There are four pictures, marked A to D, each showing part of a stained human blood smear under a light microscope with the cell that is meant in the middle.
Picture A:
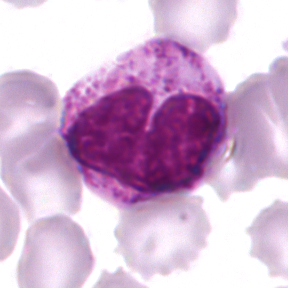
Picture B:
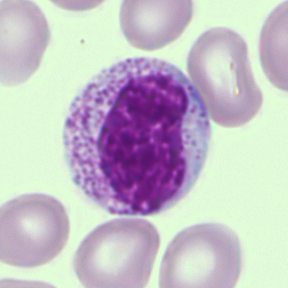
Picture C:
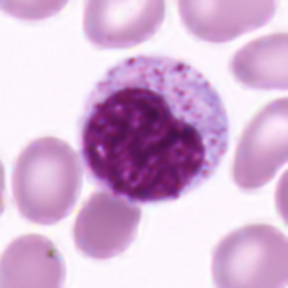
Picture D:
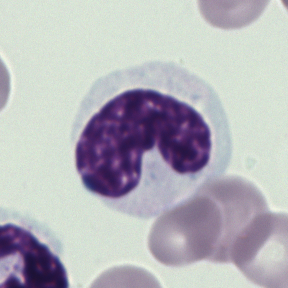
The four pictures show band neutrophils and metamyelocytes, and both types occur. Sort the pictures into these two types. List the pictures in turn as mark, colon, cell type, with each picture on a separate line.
A: band neutrophil
B: metamyelocyte
C: metamyelocyte
D: band neutrophil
